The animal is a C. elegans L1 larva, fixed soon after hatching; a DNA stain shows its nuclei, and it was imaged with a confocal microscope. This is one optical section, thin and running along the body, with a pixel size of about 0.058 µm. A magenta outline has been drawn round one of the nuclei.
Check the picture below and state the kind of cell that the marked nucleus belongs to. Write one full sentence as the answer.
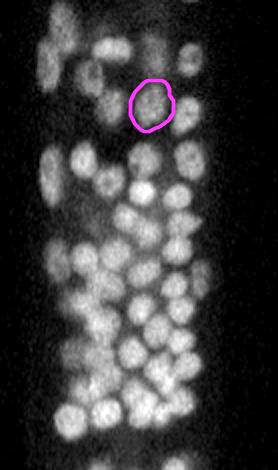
The nucleus comes from a pharyngeal muscle cell.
